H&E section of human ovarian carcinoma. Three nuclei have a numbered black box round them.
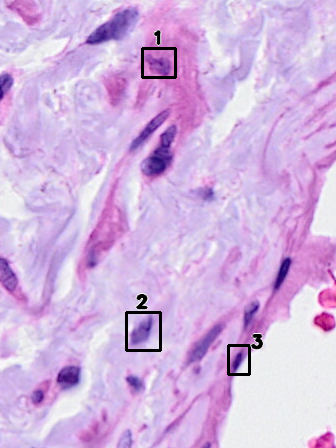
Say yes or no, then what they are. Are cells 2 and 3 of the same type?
No, cell 2 is to be identified as a fibroblast and cell 3 as an endothelial cell.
